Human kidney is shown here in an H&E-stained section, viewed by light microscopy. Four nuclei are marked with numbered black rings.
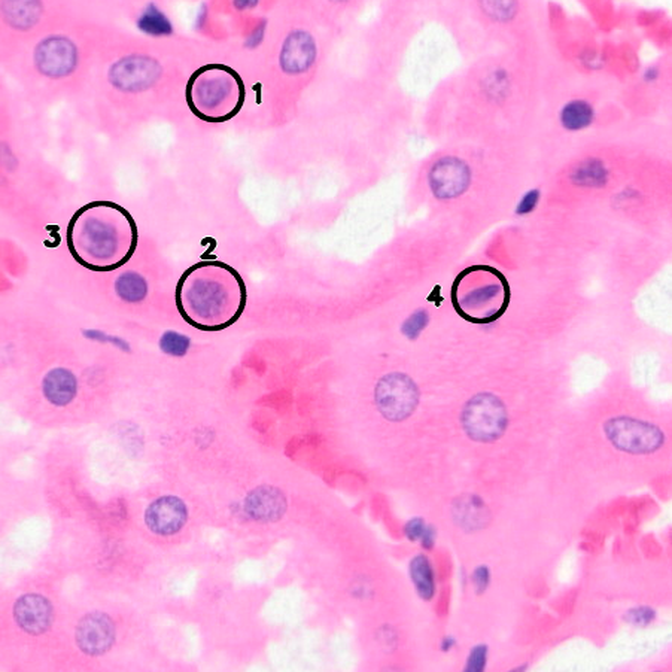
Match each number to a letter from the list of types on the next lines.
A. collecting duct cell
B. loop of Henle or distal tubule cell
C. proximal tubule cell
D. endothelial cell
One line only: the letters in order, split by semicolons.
C; C; C; D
